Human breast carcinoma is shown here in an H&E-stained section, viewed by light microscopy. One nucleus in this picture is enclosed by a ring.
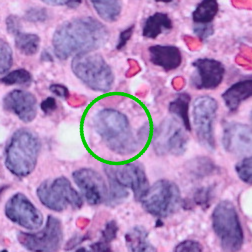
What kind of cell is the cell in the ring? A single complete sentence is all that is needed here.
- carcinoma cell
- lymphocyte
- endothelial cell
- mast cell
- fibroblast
Histopathologically, the cell in the ring is a carcinoma cell.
